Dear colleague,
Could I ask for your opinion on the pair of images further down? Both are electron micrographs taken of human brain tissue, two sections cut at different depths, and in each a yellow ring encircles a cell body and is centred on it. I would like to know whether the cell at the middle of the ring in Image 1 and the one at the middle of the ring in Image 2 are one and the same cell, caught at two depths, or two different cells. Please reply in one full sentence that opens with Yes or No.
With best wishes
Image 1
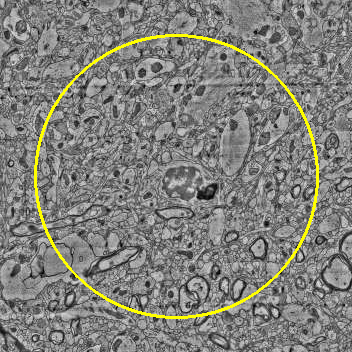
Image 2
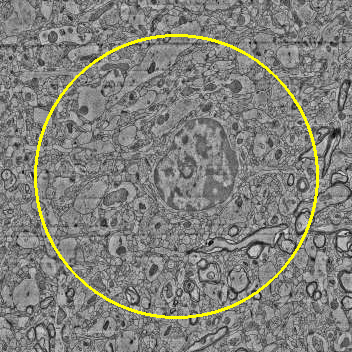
Yes, the two rings refer to one cell in the tissue.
